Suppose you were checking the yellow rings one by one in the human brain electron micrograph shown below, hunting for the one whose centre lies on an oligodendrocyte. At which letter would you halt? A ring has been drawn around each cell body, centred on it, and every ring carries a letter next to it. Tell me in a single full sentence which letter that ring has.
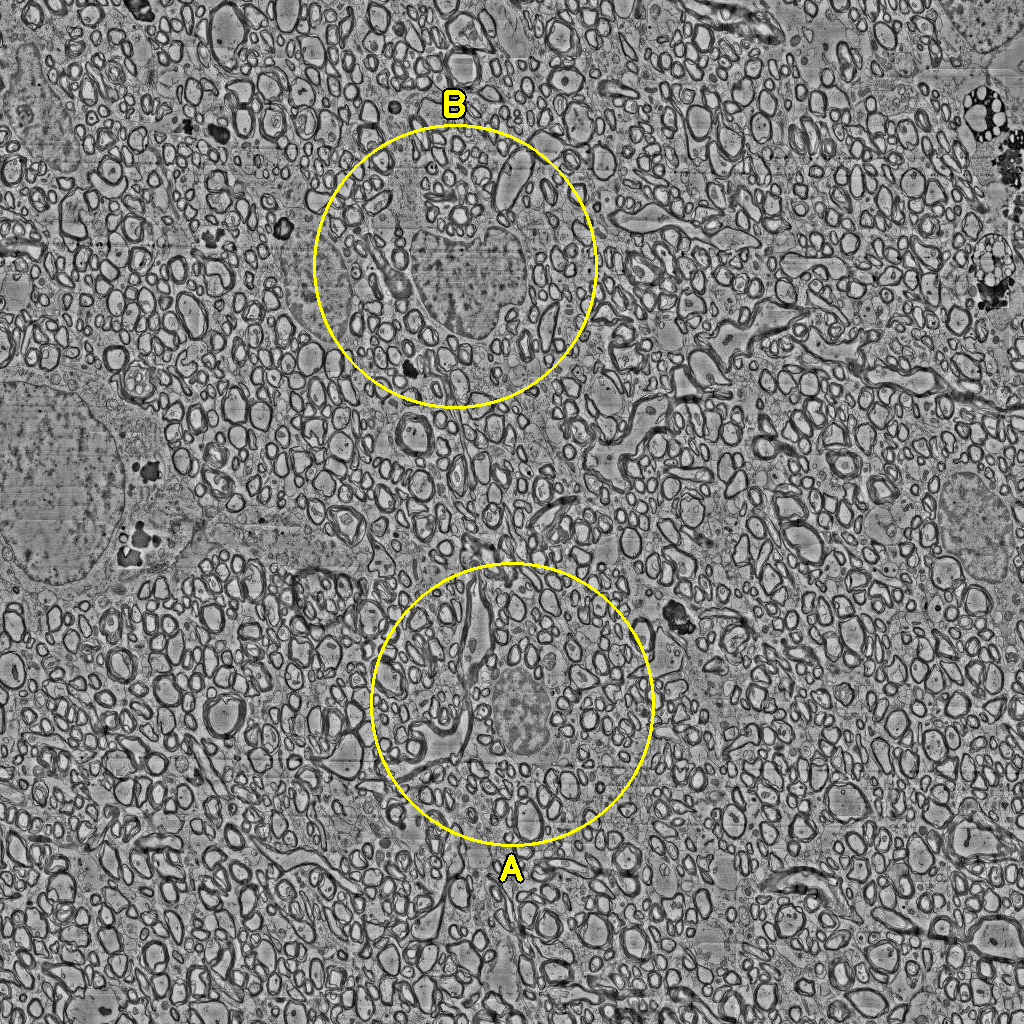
Going through the rings, I would stop at ring A, the one centred on the cell asked for.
